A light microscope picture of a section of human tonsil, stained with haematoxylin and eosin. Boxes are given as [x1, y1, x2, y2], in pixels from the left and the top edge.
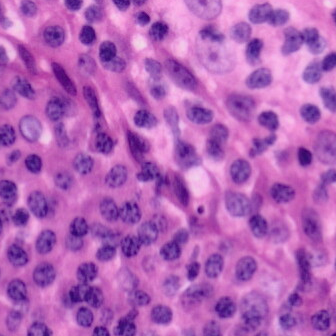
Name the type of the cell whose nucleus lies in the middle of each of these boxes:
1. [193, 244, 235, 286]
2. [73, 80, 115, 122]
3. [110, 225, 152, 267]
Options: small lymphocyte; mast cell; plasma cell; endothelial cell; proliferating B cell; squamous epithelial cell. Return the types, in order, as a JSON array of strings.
["plasma cell", "squamous epithelial cell", "plasma cell"]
